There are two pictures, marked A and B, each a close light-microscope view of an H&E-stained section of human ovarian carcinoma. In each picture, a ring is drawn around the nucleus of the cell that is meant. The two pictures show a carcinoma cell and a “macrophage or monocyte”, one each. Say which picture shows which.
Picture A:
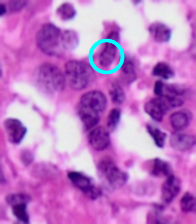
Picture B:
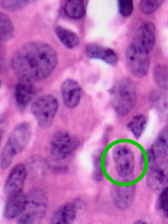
A: carcinoma cell
B: macrophage or monocyte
